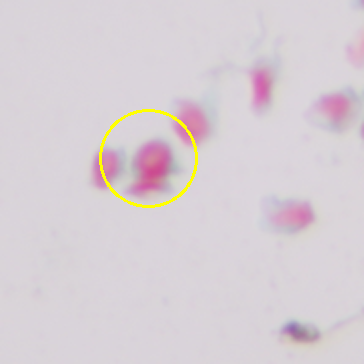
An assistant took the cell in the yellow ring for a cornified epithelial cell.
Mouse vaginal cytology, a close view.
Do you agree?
I disagree, it is a nucleated epithelial cell.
